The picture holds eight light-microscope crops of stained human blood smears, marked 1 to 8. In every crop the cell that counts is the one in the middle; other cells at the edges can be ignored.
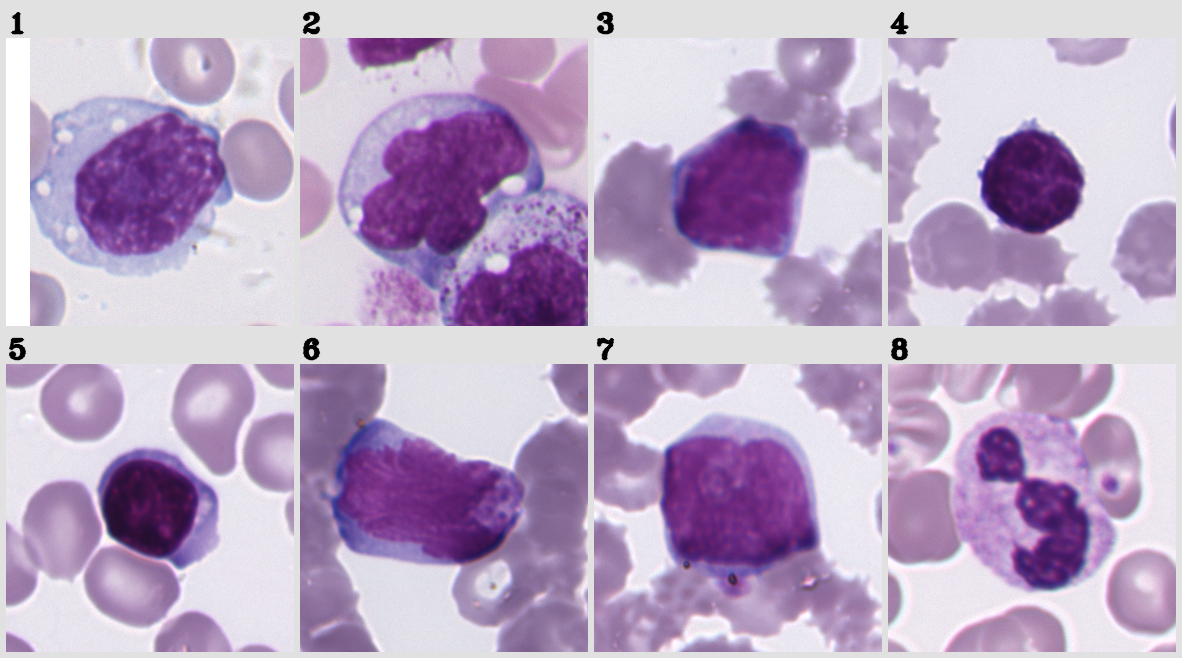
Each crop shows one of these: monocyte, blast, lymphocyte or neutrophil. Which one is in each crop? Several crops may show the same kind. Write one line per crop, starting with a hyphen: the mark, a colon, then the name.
- 1: blast
- 2: monocyte
- 3: blast
- 4: lymphocyte
- 5: lymphocyte
- 6: blast
- 7: blast
- 8: neutrophil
